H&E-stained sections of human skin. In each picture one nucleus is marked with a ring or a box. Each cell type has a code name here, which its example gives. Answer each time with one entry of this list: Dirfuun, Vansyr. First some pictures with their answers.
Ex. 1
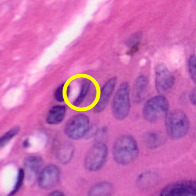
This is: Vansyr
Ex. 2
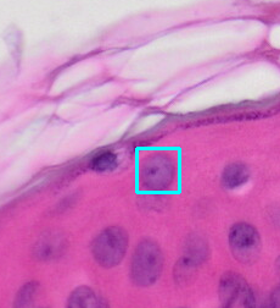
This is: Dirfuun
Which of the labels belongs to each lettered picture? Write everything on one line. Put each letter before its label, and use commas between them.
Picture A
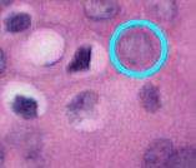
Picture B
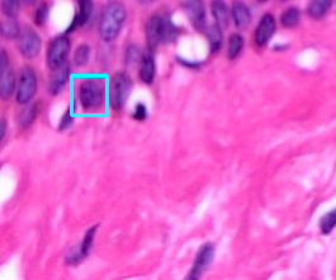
A Dirfuun, B Vansyr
